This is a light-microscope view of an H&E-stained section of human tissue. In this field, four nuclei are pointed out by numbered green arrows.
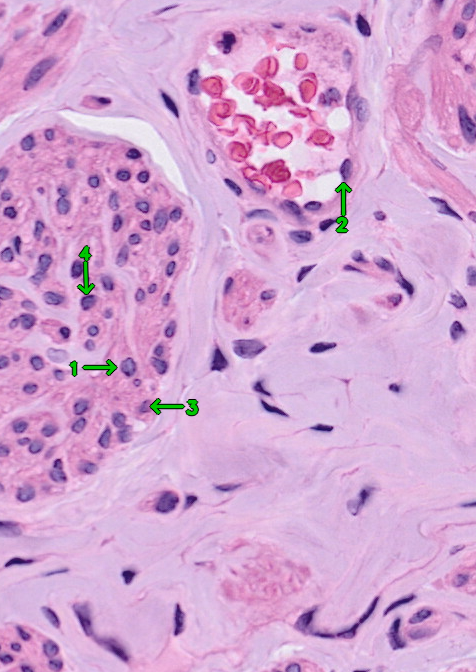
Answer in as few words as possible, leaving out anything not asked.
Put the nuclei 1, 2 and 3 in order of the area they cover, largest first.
1, 2, 3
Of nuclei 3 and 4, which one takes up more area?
4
